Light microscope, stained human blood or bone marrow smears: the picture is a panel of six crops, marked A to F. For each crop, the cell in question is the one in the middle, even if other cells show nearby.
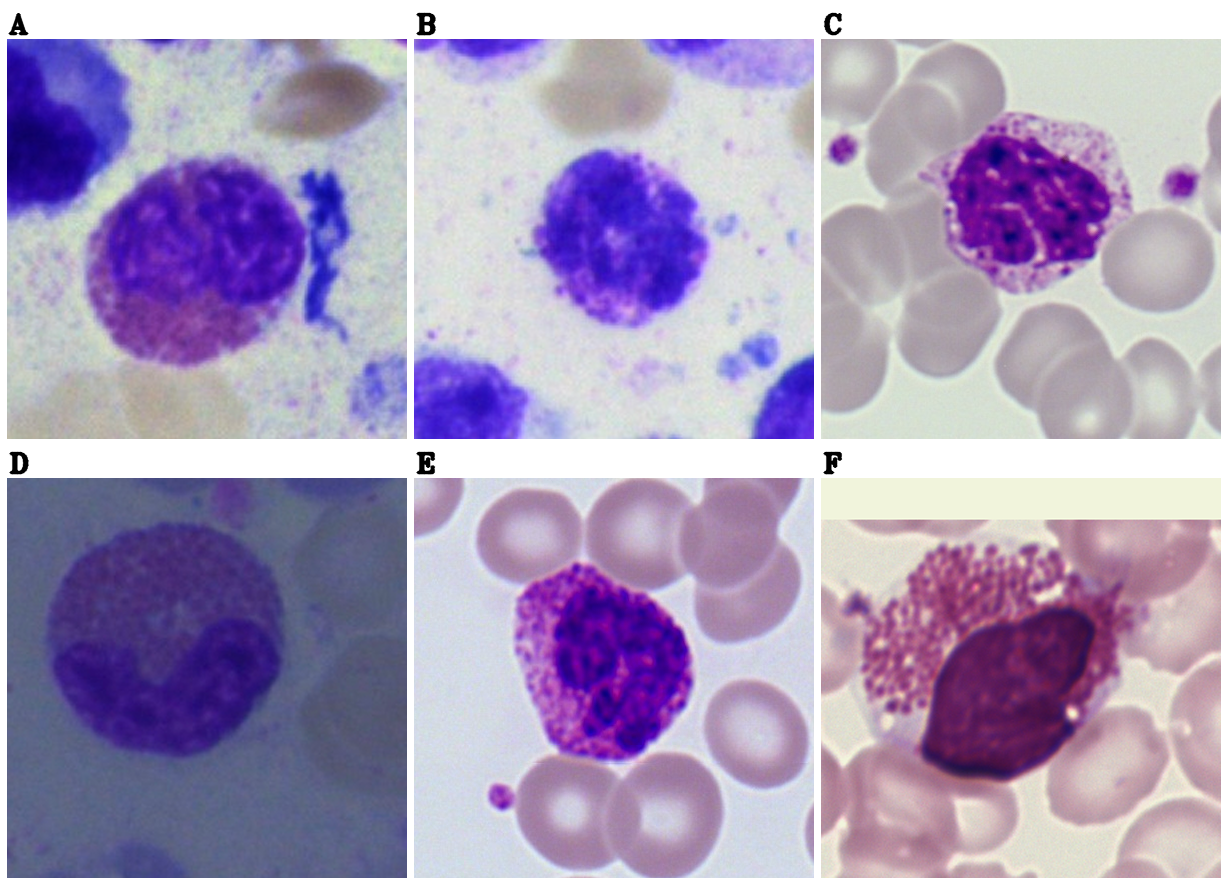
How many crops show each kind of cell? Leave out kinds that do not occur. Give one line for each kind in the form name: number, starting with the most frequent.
basophil: 4
eosinophil: 2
